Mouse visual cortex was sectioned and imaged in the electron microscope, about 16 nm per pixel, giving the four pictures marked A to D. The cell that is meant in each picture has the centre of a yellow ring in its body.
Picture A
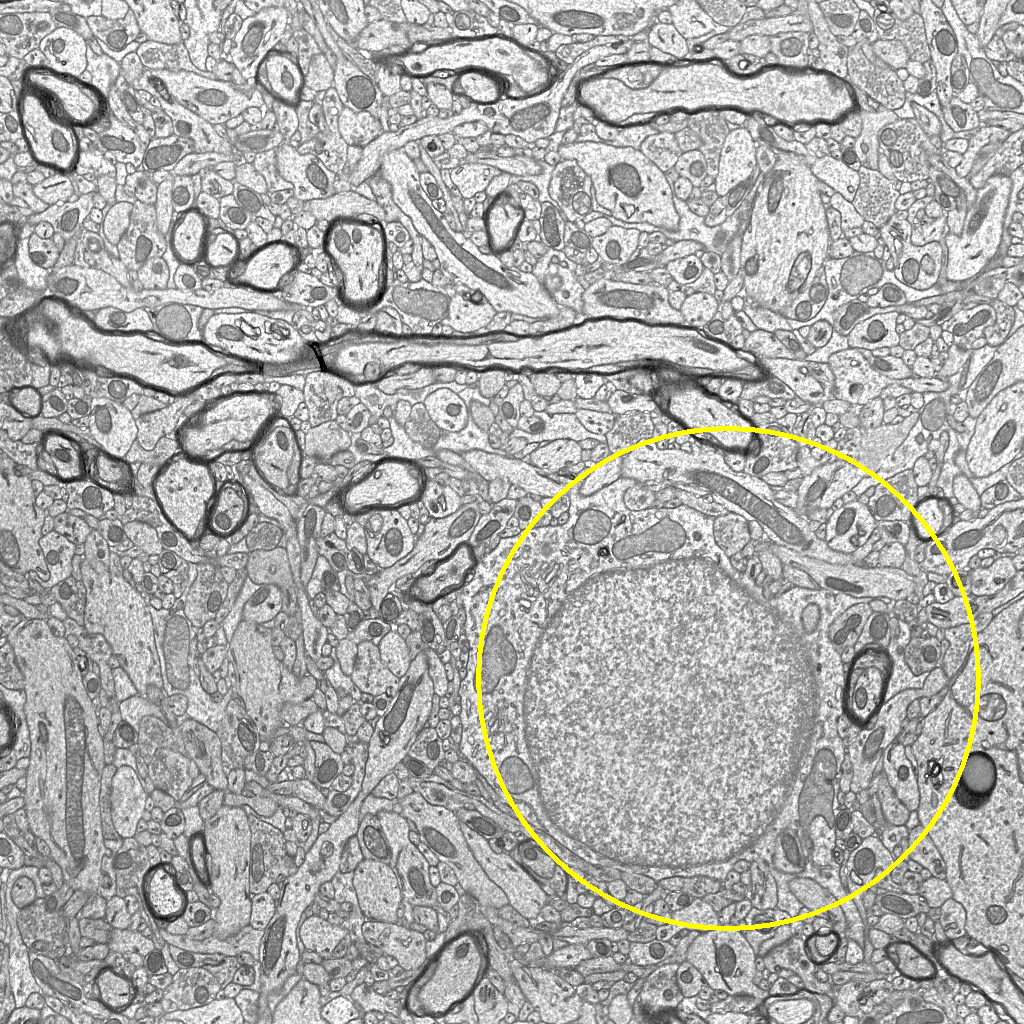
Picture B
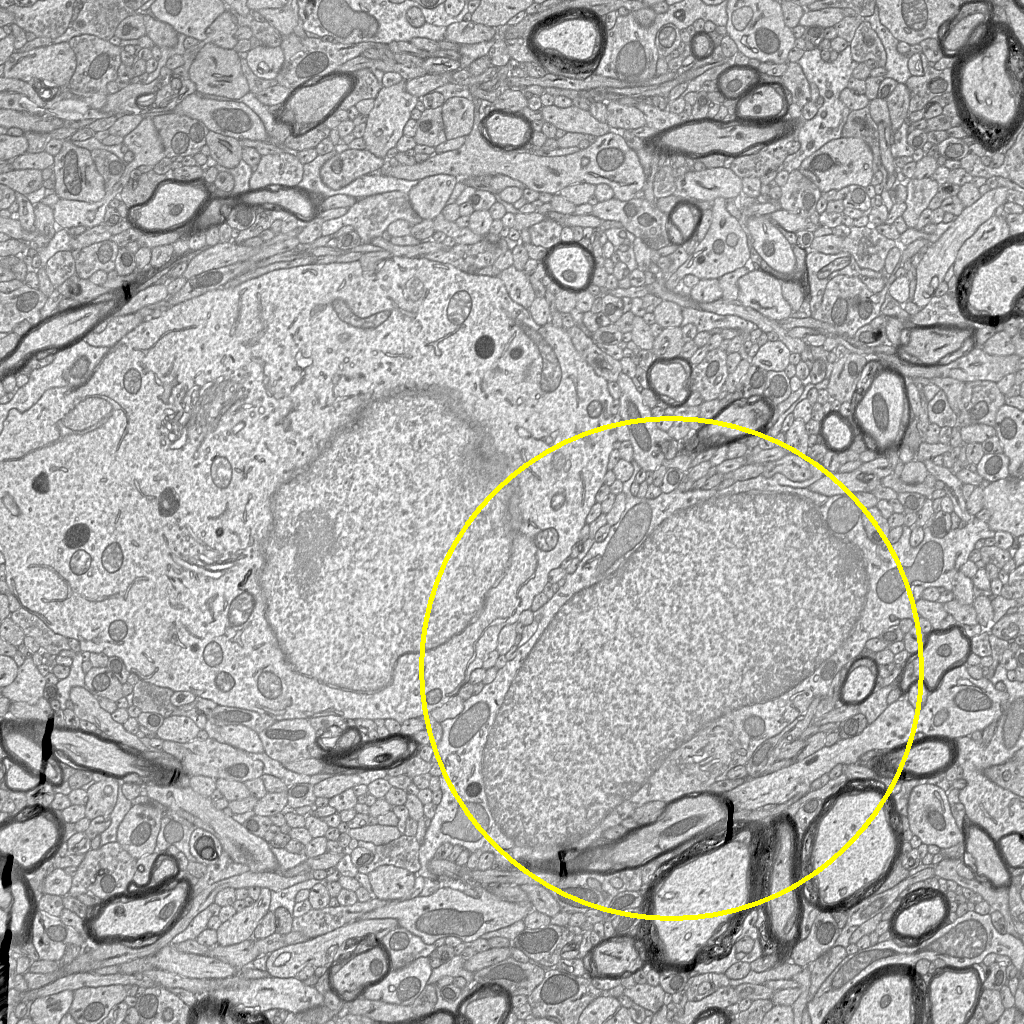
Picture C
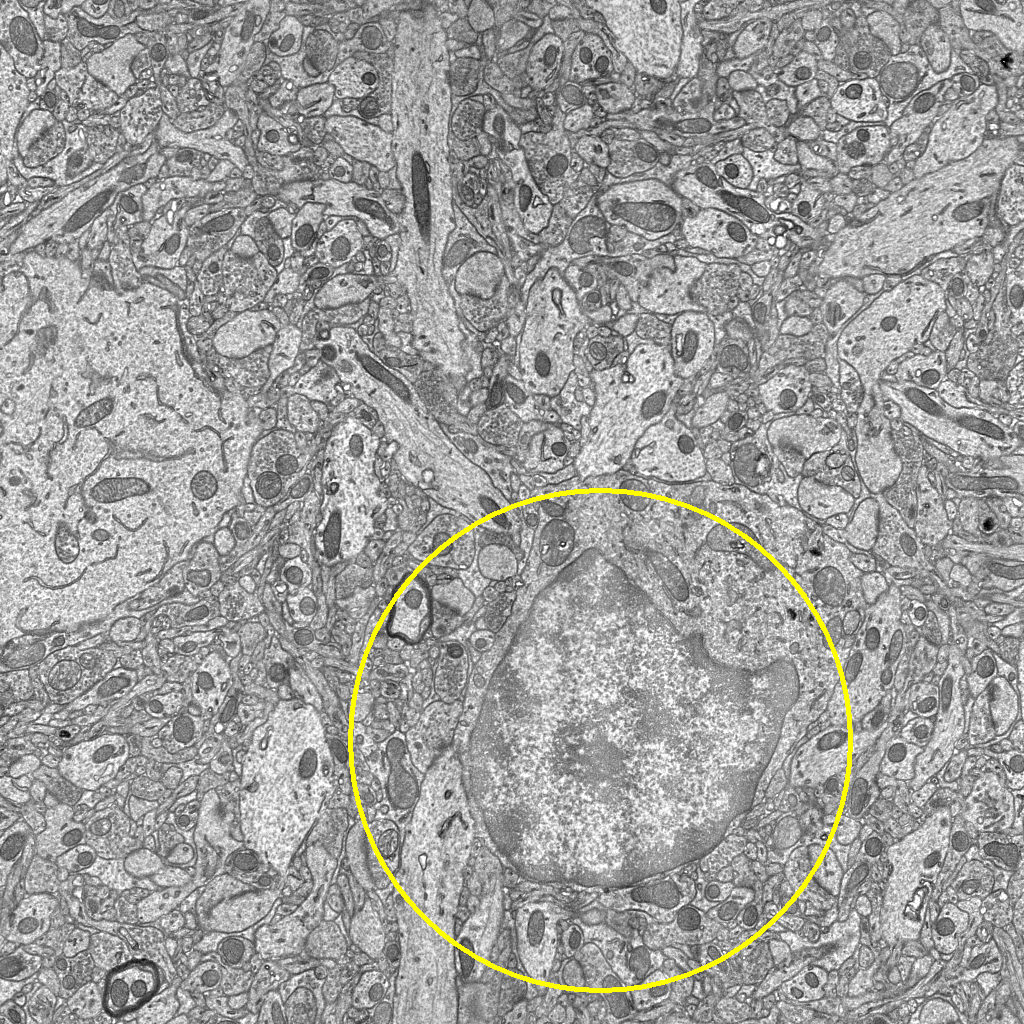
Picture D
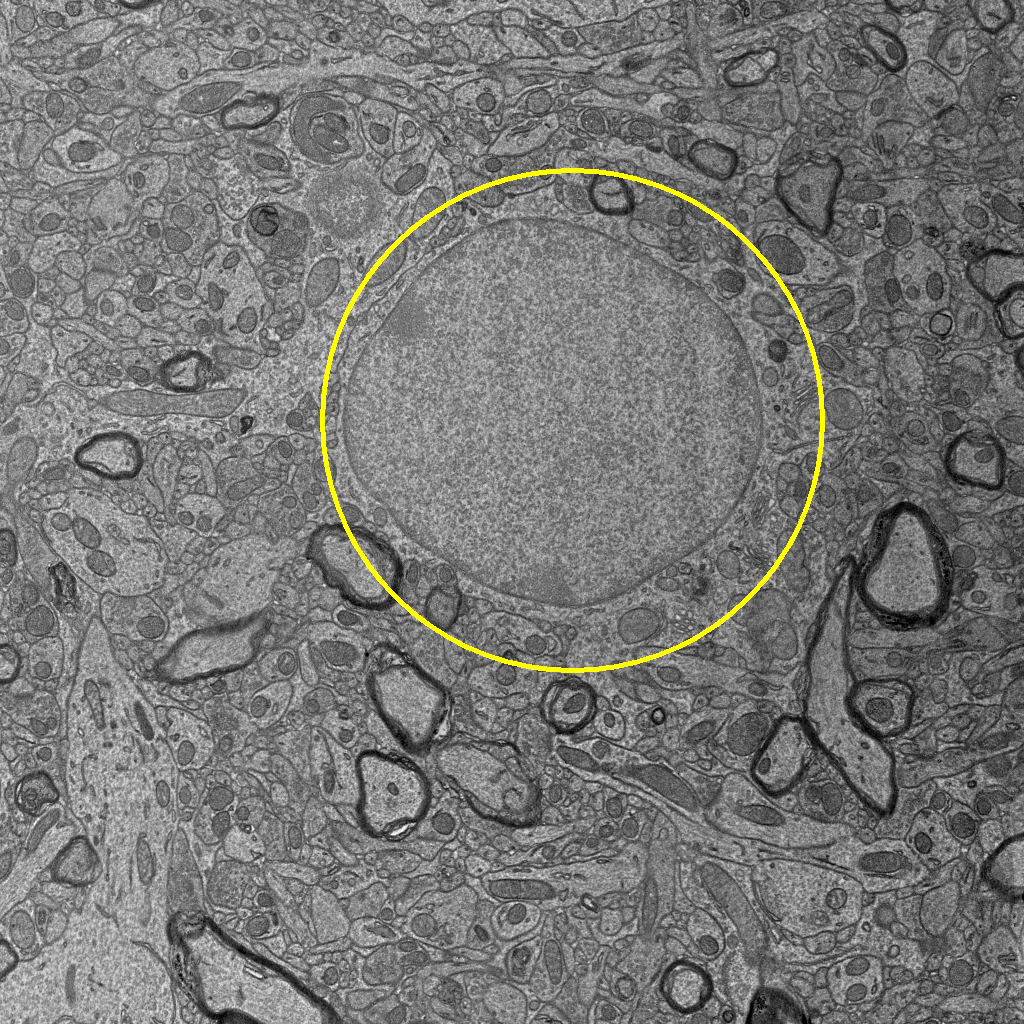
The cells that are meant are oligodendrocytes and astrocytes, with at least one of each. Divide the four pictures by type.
Picture C shows an oligodendrocyte, and pictures A, B and D show astrocytes.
